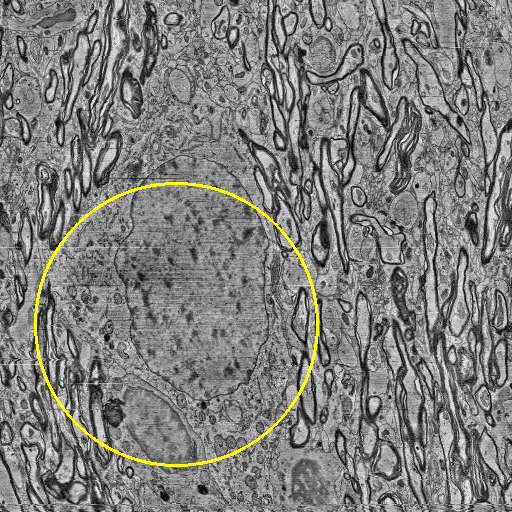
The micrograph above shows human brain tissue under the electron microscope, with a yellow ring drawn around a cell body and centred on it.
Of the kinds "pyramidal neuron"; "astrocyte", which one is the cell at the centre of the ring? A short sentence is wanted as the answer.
The one at the centre of the ring is a pyramidal neuron.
